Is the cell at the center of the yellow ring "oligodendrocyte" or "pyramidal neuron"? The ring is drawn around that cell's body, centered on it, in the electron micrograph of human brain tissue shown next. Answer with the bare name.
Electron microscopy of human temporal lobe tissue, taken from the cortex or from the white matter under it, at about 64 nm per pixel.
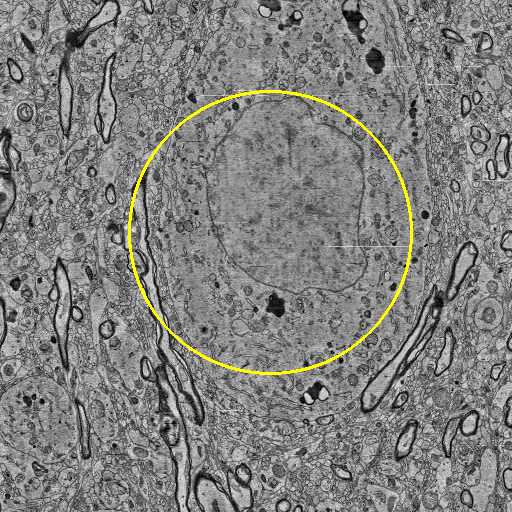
pyramidal neuron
